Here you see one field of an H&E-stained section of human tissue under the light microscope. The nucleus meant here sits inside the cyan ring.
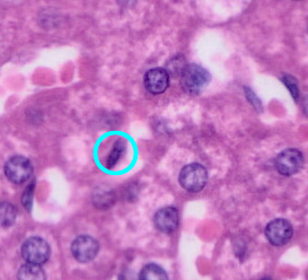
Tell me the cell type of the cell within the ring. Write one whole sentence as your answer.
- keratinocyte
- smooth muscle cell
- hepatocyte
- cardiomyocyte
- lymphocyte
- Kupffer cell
The cell within the ring appears to be a Kupffer cell.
